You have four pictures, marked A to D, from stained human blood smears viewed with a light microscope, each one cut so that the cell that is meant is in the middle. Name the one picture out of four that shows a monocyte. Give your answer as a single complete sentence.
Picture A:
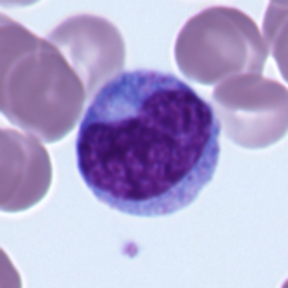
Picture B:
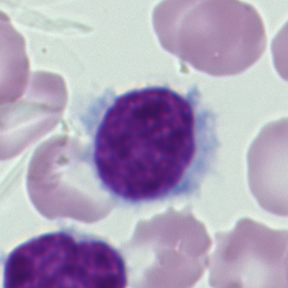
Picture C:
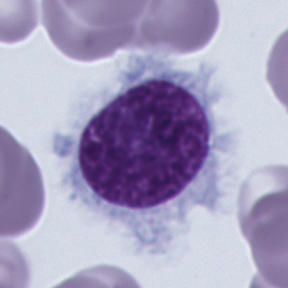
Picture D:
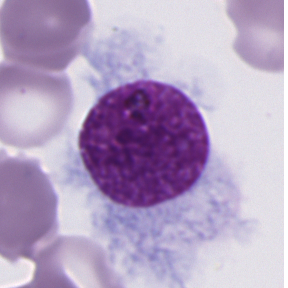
The monocyte is the one in picture A.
